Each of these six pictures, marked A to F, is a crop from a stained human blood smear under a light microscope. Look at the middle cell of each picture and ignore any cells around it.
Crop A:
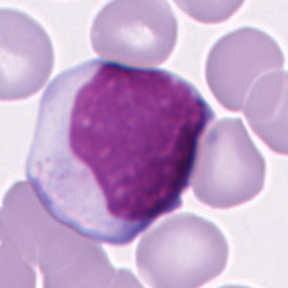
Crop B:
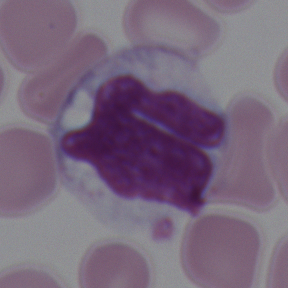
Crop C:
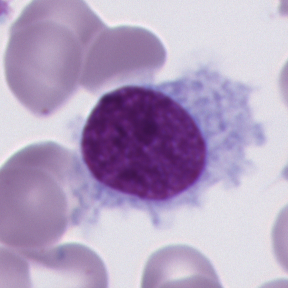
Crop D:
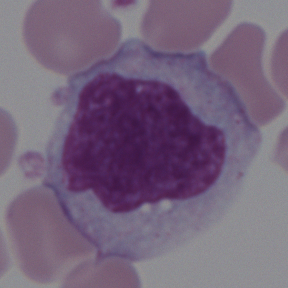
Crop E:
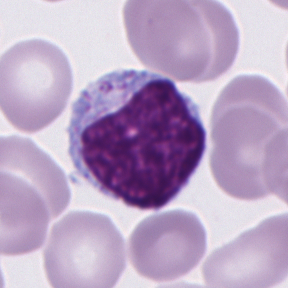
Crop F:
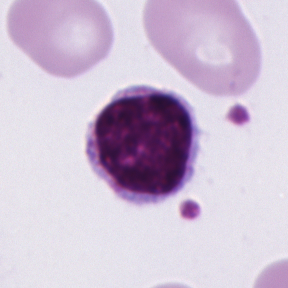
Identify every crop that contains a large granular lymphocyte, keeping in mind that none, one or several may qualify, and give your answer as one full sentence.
Of the crops in this set, A, E and F show large granular lymphocytes.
